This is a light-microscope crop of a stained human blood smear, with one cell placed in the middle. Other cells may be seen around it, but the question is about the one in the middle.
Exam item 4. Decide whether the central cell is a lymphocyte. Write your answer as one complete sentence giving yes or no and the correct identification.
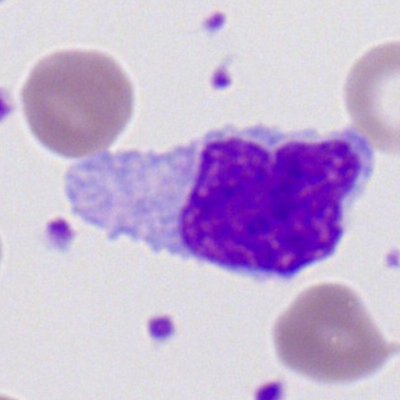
No, the centered cell is a monocyte and not a lymphocyte at all.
